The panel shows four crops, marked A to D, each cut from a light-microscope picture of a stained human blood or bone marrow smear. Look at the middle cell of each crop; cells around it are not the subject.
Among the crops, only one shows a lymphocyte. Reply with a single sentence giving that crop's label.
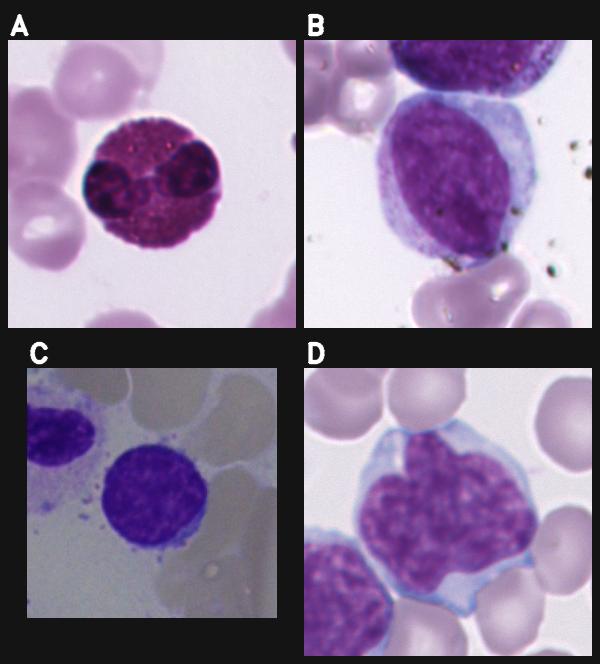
Of the crops shown, crop C depicts a lymphocyte.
